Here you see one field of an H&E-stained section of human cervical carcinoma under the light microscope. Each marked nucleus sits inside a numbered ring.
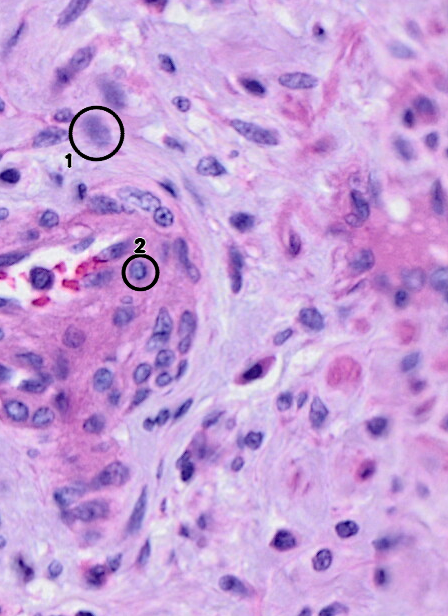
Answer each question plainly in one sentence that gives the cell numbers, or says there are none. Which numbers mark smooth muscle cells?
It is only cell 2 that is a smooth muscle cell among the numbered cells.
